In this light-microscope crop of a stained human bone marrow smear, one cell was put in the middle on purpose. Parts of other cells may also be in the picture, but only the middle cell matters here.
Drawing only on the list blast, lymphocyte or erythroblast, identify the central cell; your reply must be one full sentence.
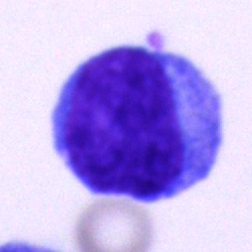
The cell at the middle of the frame should be recorded as a blast.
